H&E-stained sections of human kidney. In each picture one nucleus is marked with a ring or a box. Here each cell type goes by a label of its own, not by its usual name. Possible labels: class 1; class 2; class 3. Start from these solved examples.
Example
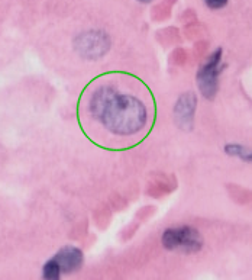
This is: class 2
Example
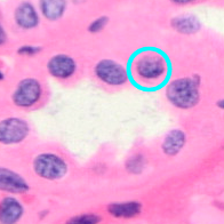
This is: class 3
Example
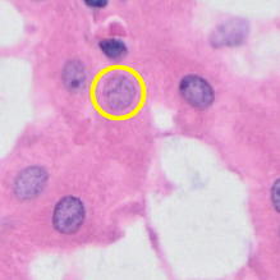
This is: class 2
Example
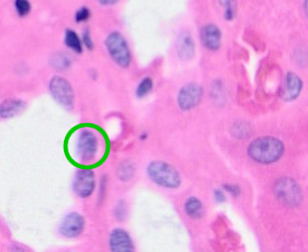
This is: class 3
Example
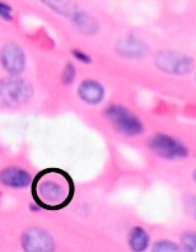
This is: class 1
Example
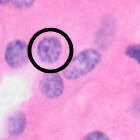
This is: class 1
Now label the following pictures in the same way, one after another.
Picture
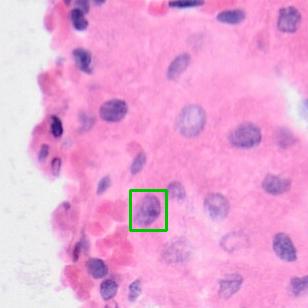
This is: class 2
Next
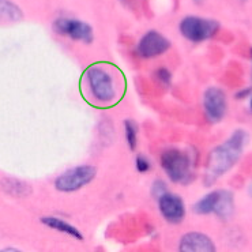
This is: class 3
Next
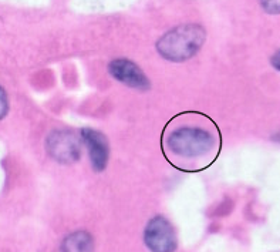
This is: class 3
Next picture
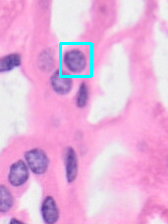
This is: class 1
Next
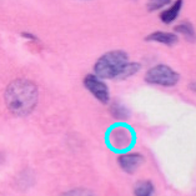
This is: class 1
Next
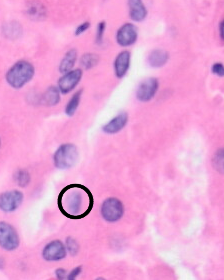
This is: class 1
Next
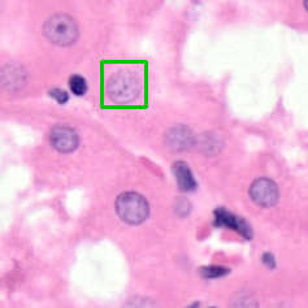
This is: class 2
